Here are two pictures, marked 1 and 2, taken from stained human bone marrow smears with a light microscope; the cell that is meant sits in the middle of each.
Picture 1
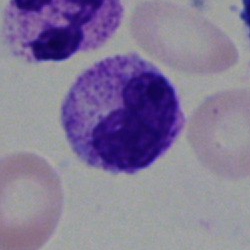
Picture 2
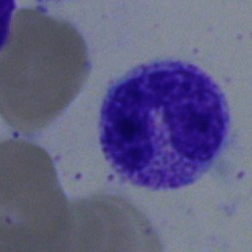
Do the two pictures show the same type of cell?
yes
